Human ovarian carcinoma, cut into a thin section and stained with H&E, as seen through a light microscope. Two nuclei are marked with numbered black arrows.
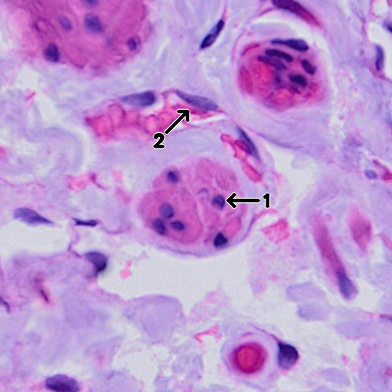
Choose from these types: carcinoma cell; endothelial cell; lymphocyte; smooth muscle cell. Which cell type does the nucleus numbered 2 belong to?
endothelial cell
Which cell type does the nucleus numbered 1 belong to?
smooth muscle cell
